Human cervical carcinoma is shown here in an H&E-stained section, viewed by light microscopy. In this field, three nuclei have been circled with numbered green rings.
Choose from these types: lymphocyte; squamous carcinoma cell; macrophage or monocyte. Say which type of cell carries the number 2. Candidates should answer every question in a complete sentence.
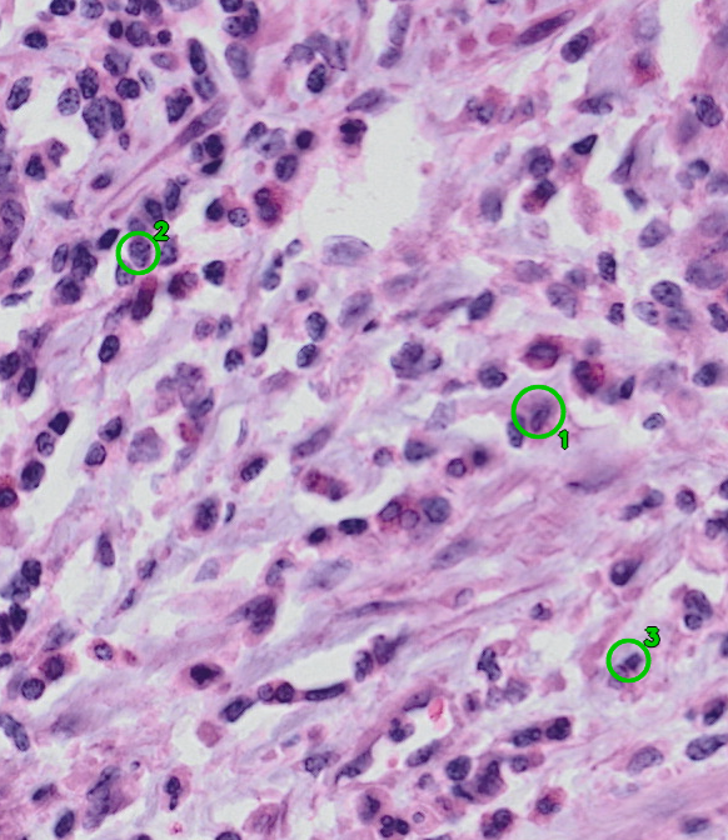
The mark numbered 2 indicates the nucleus of a lymphocyte.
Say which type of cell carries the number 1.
Denoted by the label 1 in the section is a macrophage or monocyte.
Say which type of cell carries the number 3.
In this section, the cell numbered 3 is a lymphocyte.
